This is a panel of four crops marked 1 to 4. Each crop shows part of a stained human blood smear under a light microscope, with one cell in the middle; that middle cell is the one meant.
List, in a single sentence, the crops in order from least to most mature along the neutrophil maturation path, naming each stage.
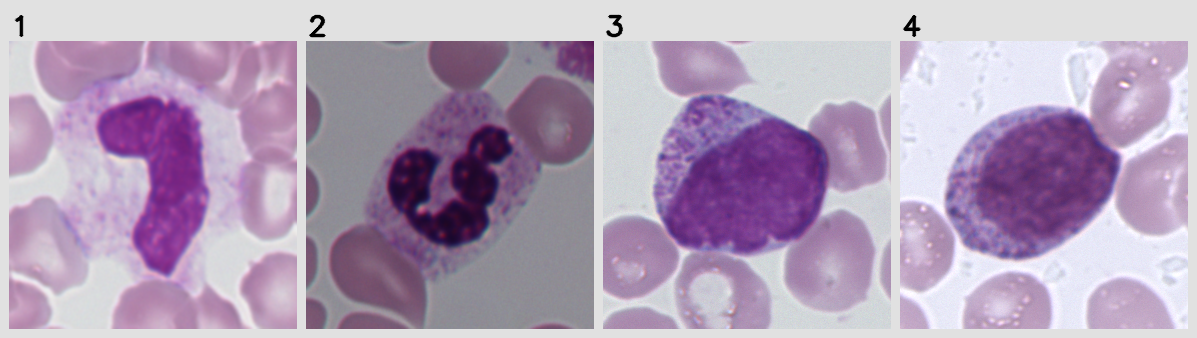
Placed in order of rising maturity, the crops stand as crop 3 (a promyelocyte), crop 4 (a myelocyte), crop 1 (a band neutrophil) and crop 2 (a segmented neutrophil).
